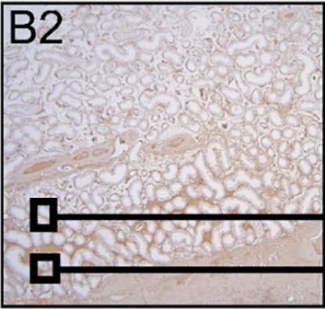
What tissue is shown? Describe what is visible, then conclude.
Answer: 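Densely packed convoluted tubules in cross-section fill most of the field. Bands of connective tissue with vessels run between groups of tubules. So: testis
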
